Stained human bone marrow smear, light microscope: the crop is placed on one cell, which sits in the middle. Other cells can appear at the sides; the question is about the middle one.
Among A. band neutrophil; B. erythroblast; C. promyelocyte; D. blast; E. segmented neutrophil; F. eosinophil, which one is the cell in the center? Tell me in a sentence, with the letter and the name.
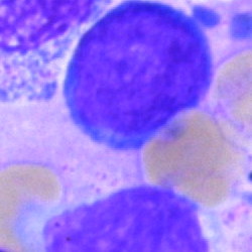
Option D is correct, naming the cell in the middle as a blast.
